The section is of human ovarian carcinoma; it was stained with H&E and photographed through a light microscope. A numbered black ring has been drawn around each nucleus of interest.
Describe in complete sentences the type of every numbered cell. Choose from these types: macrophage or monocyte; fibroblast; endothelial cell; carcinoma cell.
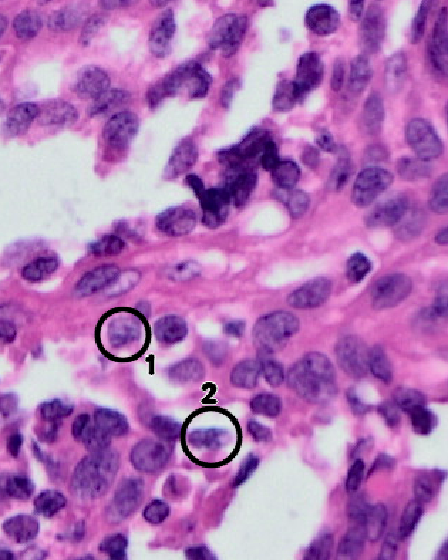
Cell 1 is a macrophage or monocyte. Cell 2 is a carcinoma cell.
